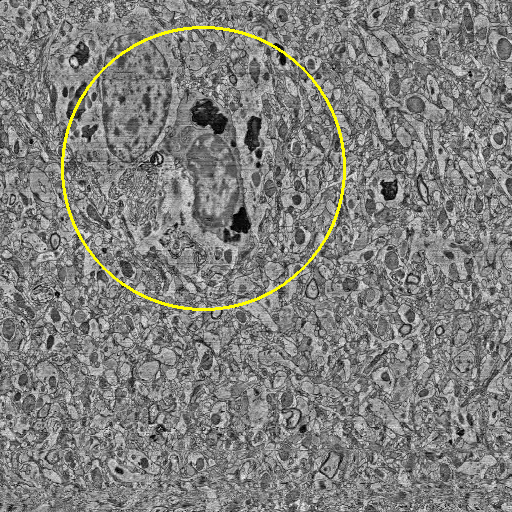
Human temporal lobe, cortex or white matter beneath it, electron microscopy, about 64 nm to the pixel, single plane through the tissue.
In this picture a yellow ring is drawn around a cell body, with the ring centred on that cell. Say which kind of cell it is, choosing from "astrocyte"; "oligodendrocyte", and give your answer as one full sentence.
Here it is an oligodendrocyte that sits at the centre of the drawn yellow ring.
